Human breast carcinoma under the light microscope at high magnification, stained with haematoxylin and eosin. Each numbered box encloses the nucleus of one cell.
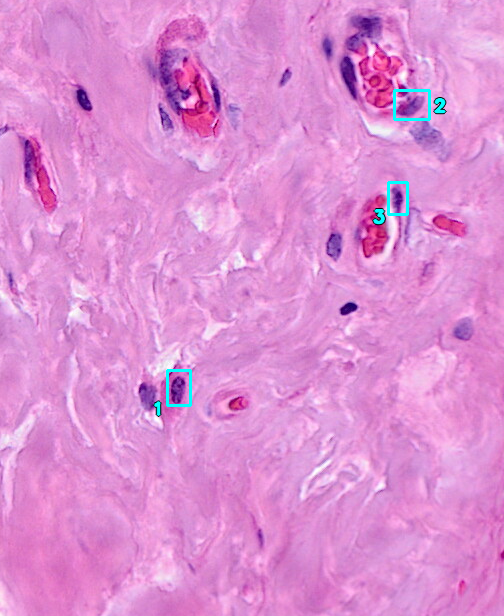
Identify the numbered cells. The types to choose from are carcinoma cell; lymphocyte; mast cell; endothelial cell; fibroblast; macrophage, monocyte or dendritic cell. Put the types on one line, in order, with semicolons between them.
mast cell; endothelial cell; endothelial cell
